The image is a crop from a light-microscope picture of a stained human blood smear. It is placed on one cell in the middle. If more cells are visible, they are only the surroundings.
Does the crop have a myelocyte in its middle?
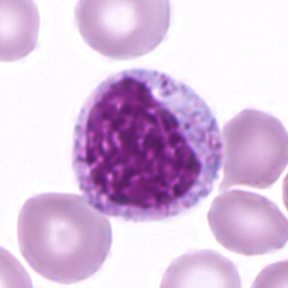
yes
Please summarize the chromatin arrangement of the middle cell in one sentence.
Its nuclear chromatin is gathered into coarse clumps.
